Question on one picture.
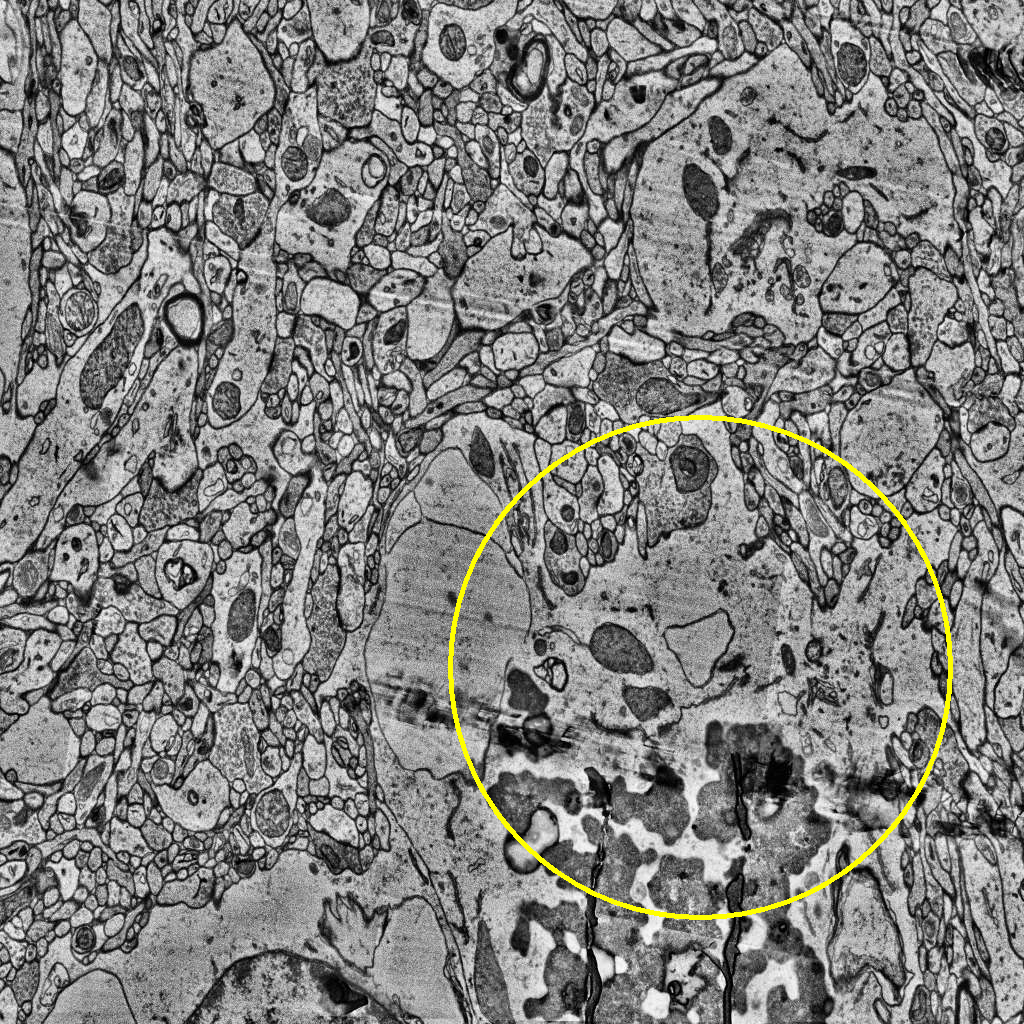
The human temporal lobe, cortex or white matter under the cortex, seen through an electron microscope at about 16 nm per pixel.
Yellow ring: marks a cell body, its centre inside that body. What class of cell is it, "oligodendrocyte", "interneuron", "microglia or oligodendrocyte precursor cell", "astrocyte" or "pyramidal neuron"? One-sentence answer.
This is an astrocyte, the cell at the ring's centre.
